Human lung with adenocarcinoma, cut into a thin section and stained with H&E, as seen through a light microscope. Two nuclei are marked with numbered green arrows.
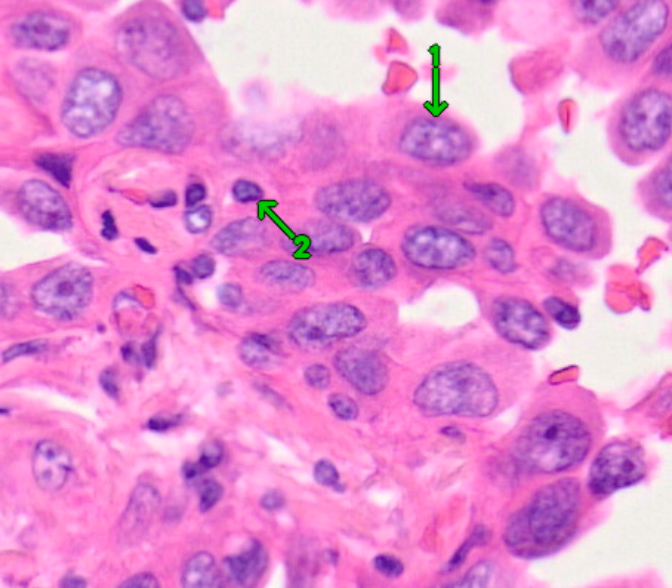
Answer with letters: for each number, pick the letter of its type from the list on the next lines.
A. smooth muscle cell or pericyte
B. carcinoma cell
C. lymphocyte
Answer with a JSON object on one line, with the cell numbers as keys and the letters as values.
{"1": "B", "2": "C"}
